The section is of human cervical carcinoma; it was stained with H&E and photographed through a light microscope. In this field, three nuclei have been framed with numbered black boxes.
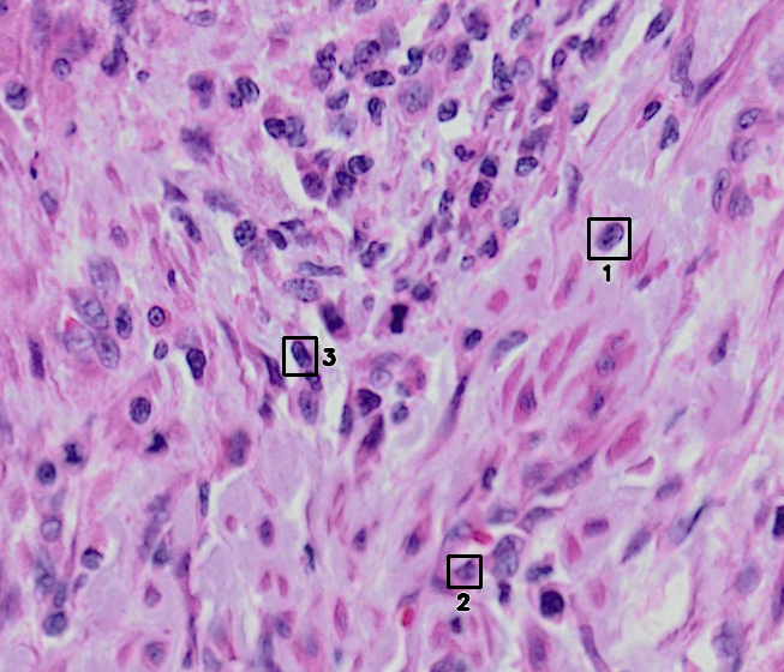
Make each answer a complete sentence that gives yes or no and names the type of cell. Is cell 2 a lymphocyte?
No, for cell 2, the correct identification is an endothelial cell instead of a lymphocyte.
